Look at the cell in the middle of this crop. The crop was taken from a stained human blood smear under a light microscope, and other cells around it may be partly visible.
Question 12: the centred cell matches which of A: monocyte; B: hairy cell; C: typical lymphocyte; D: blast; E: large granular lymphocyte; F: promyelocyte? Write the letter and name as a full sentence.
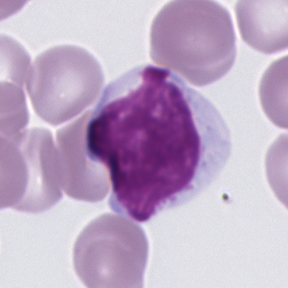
Given that the cell in the middle is a large granular lymphocyte, option E is correct.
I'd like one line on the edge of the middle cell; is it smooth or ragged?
The border of this cell runs smooth and free of any projections.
